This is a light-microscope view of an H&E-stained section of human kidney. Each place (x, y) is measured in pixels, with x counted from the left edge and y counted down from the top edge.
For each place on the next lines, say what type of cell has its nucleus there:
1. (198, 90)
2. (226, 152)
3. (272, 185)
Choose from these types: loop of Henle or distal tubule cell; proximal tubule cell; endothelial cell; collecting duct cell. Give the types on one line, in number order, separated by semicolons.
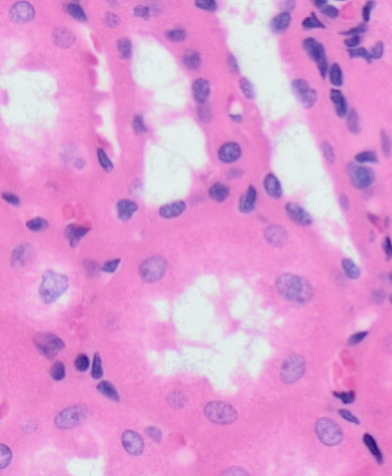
loop of Henle or distal tubule cell; collecting duct cell; loop of Henle or distal tubule cell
